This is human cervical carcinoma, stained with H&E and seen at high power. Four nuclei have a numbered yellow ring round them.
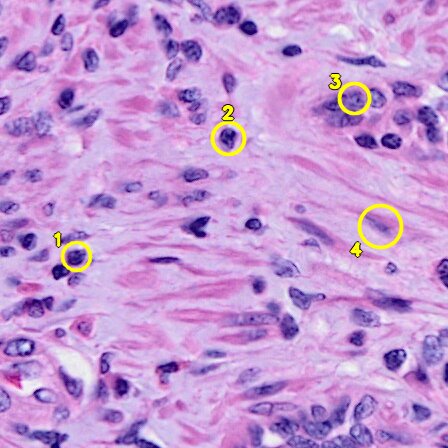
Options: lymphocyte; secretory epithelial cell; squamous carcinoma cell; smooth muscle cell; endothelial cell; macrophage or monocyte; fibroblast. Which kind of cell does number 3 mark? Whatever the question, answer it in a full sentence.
The cell with the number 3 is an endothelial cell.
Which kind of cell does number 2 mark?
In this section, the cell tagged 2 is a lymphocyte.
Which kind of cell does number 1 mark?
In this section, the cell tagged 1 is a lymphocyte.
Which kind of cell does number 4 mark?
The cell pointed out as number 4 is a smooth muscle cell.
